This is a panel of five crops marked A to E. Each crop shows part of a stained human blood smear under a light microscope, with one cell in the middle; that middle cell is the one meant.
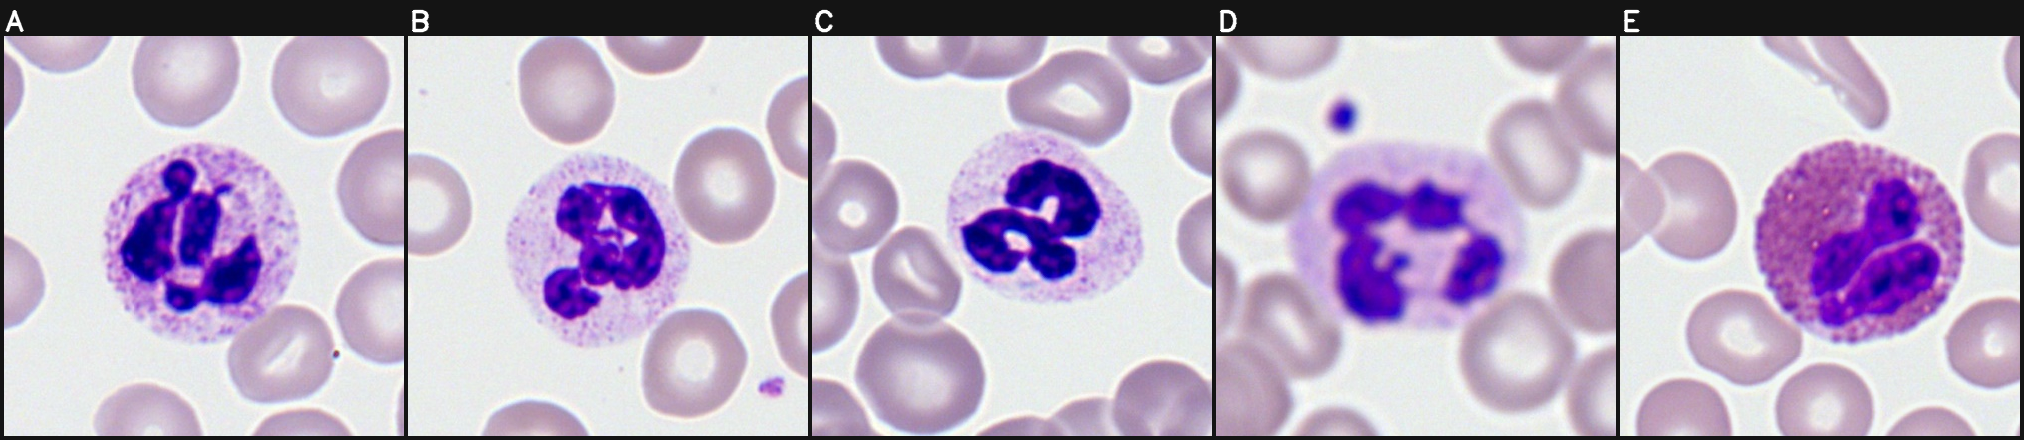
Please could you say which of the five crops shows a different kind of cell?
E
